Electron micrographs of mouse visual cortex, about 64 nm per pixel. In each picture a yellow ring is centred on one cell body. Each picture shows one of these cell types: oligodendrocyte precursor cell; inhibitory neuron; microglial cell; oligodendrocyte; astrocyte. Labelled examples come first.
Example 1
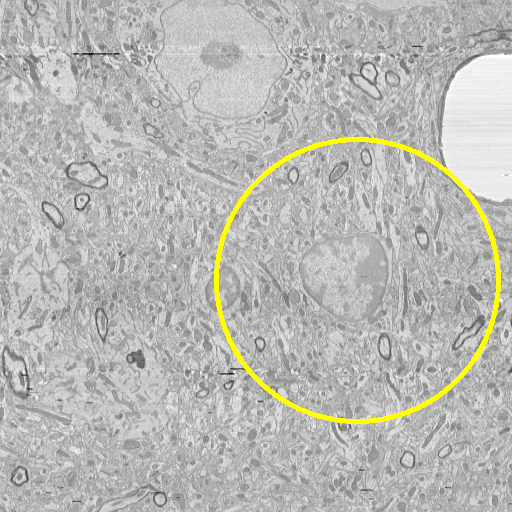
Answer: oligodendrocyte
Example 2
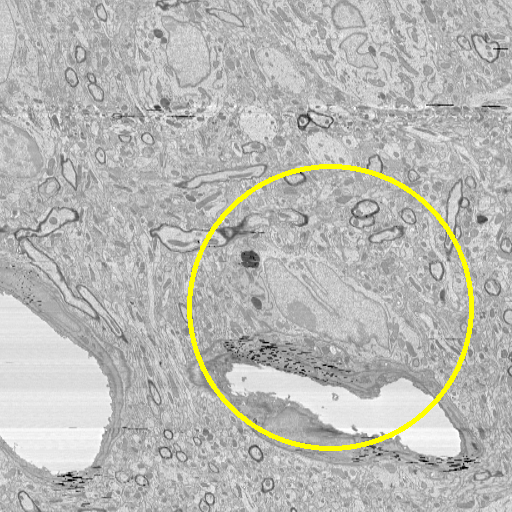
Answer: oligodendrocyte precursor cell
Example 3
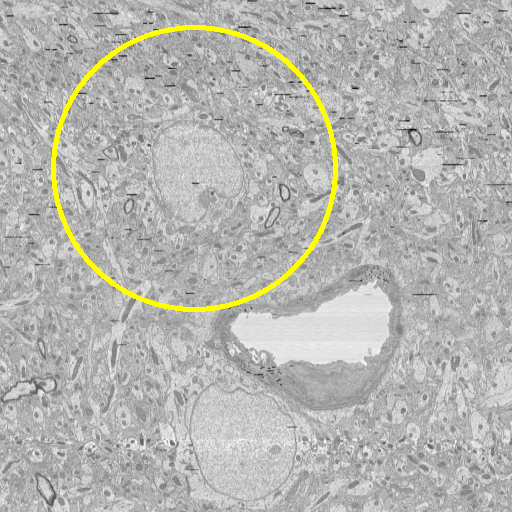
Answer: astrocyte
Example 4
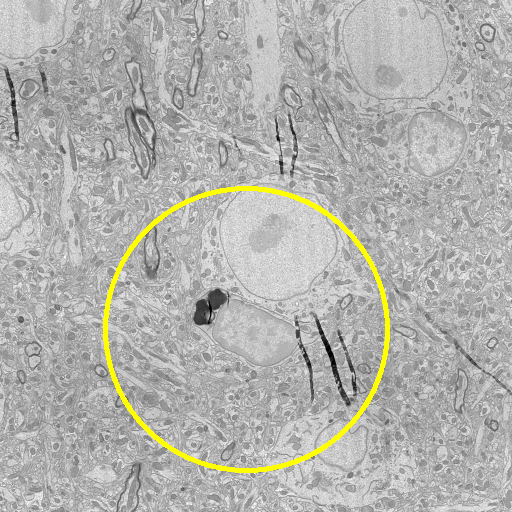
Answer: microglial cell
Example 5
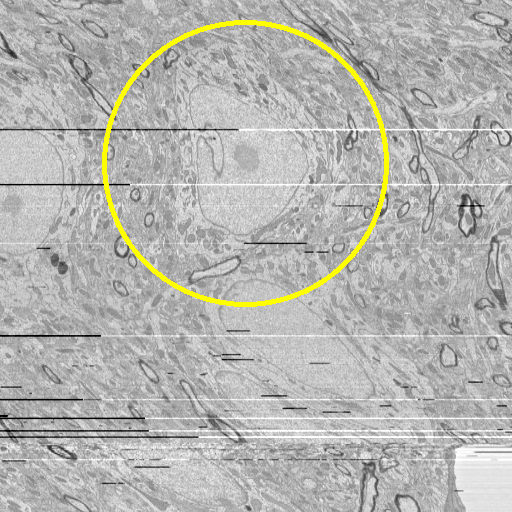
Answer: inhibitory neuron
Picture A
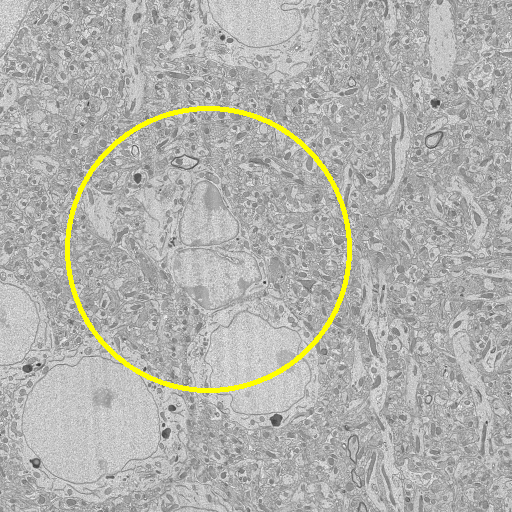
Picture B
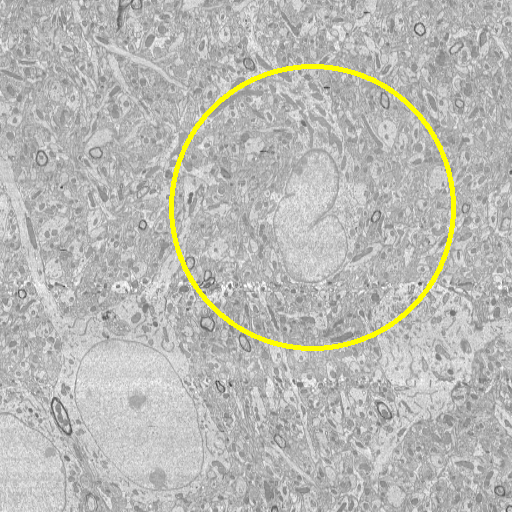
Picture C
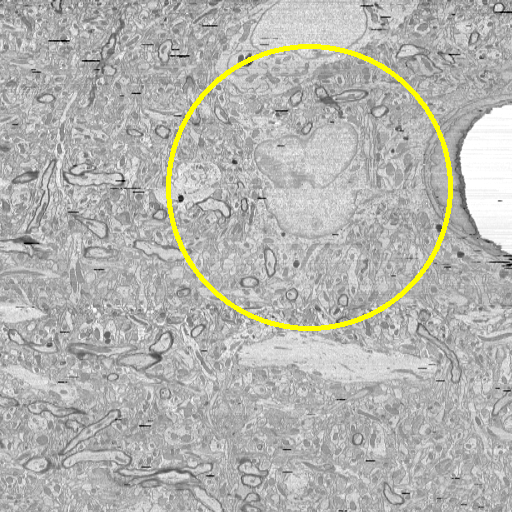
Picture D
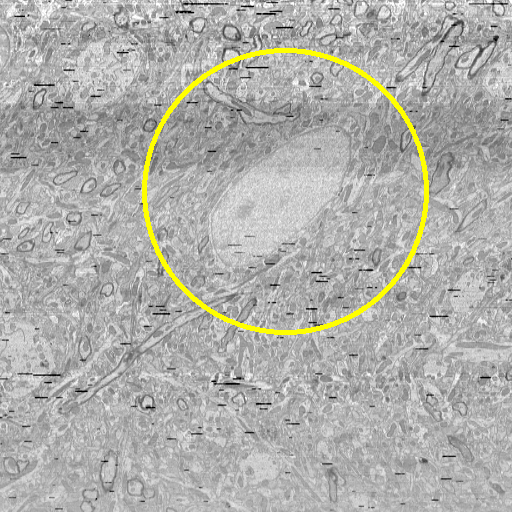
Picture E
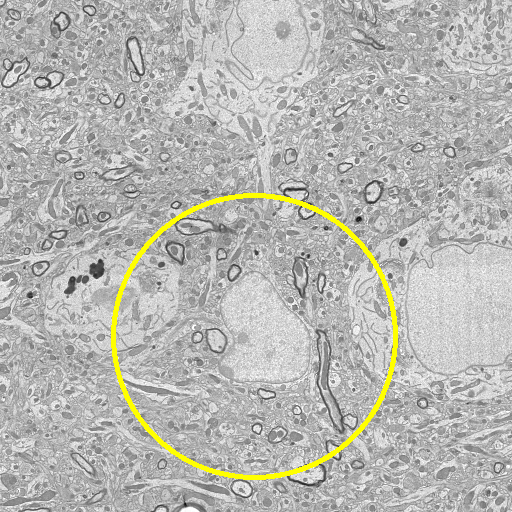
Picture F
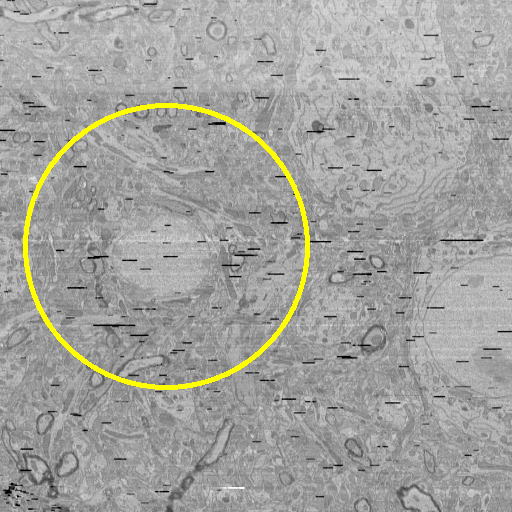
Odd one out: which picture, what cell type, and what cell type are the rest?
Picture A: oligodendrocyte precursor cell. All others: astrocyte.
